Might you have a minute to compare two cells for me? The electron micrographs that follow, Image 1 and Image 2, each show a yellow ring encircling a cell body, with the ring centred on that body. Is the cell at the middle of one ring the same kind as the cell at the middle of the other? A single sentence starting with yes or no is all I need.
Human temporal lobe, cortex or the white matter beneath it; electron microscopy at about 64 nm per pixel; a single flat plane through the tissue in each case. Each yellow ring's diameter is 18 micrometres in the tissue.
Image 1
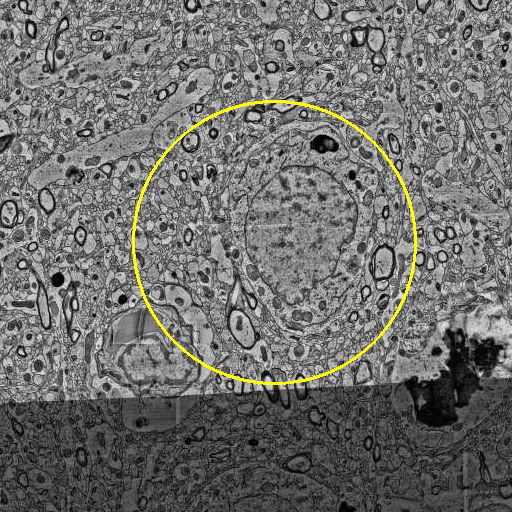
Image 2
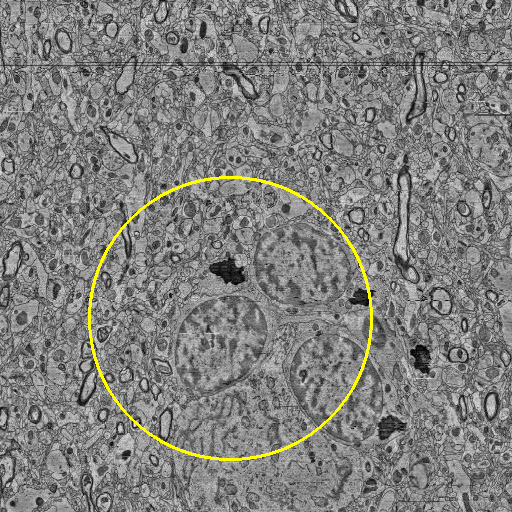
No, the cells in the middle of the two rings are of two separate kinds.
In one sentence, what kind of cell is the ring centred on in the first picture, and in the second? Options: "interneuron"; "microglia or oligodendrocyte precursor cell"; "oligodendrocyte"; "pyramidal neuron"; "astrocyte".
The cell at the centre of the second ring is an oligodendrocyte; the first ring's cell is a pyramidal neuron.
